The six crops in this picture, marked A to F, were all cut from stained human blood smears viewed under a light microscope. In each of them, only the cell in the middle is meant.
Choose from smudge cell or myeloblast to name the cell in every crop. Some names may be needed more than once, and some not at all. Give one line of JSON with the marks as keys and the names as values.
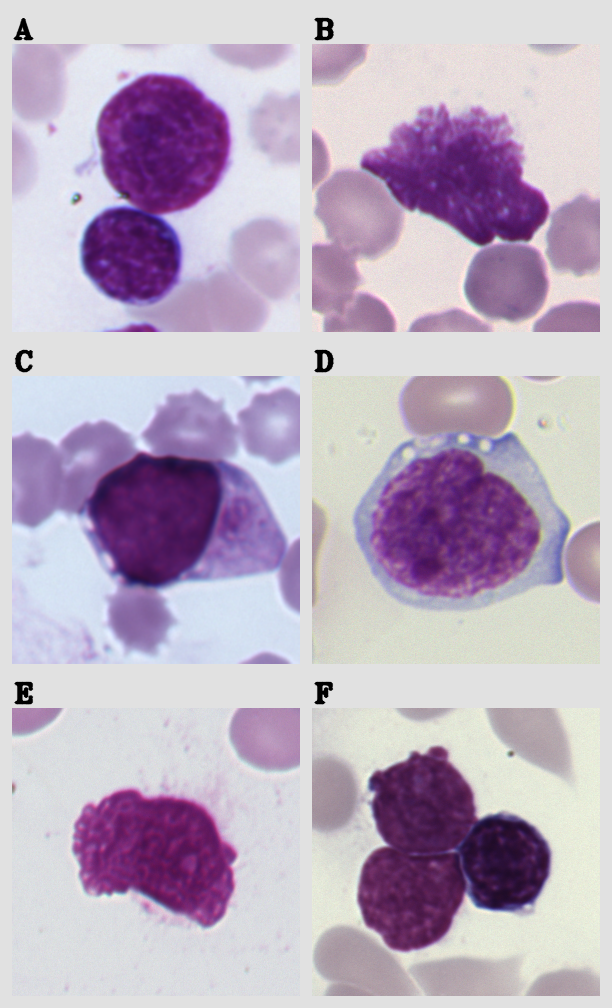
{"A": "myeloblast", "B": "smudge cell", "C": "myeloblast", "D": "myeloblast", "E": "smudge cell", "F": "myeloblast"}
